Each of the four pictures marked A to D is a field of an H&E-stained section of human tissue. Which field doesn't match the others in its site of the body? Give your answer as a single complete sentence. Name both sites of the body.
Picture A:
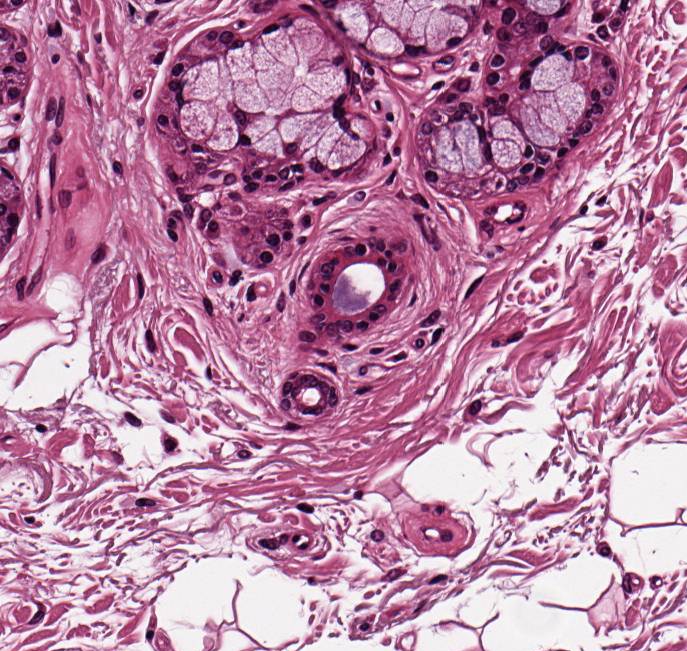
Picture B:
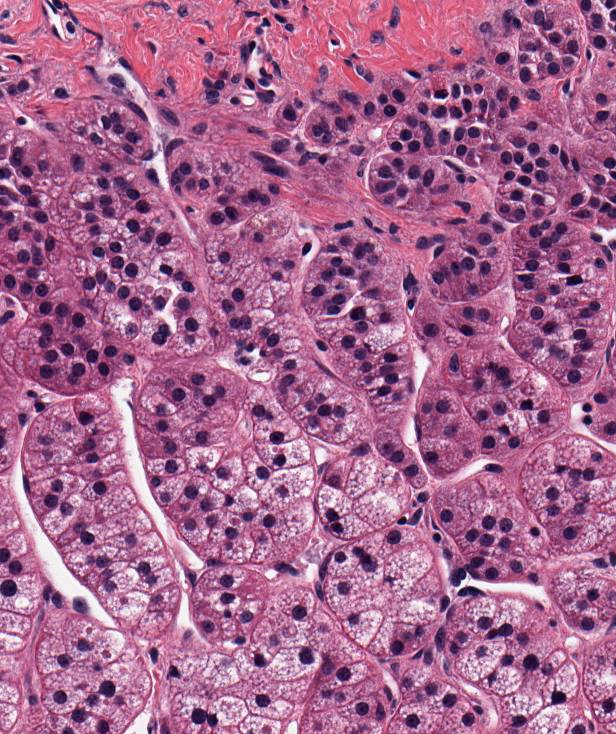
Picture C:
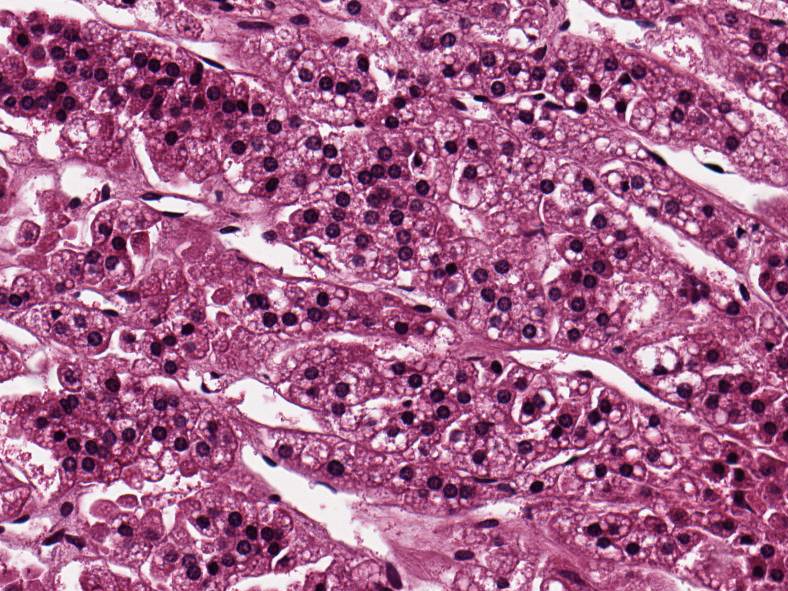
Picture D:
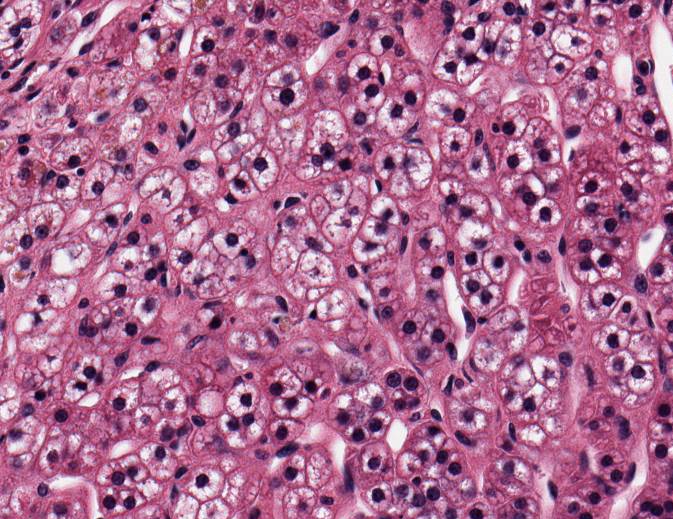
Unlike the rest, which come from the adrenal gland, picture A comes from a minor salivary gland.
